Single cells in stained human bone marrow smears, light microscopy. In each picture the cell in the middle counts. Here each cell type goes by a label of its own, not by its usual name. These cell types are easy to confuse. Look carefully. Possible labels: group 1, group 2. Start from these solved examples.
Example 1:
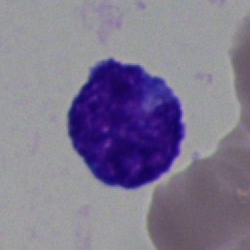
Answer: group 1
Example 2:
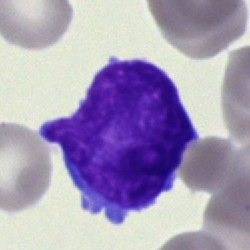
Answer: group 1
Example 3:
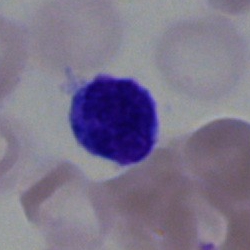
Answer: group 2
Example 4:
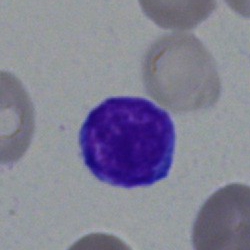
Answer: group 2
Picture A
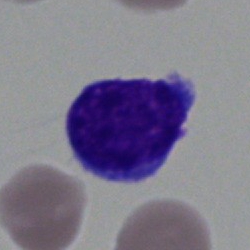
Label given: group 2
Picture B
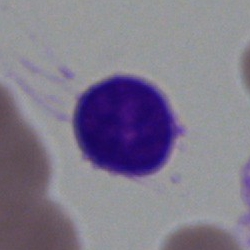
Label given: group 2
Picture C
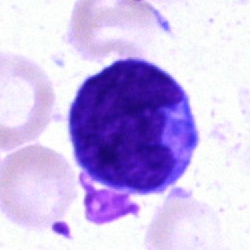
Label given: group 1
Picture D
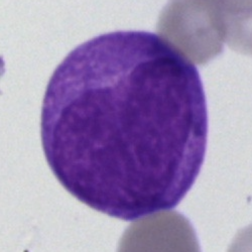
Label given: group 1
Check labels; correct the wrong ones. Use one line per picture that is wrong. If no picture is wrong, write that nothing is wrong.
None of the labels needs changing.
